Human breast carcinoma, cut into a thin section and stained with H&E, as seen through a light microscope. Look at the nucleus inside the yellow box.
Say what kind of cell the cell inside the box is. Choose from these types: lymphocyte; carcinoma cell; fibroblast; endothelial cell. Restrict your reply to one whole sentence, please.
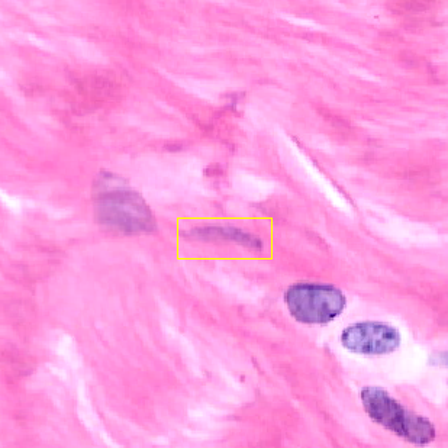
In this section of tissue, the cell inside the box is a fibroblast.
